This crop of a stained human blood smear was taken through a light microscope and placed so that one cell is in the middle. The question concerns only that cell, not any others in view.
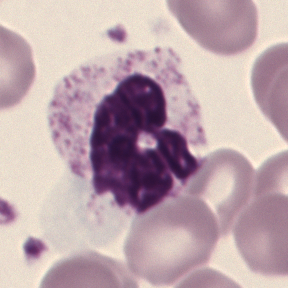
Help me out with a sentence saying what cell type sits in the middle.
This crop's central cell is a neutrophil.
